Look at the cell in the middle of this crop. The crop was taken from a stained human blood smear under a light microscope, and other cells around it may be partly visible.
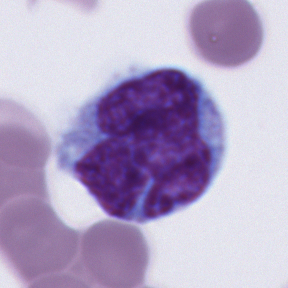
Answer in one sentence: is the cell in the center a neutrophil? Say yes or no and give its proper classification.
No, what is seen at the centre is a monocyte instead of a neutrophil.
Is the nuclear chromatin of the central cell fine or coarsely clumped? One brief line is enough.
Its chromatin is finely dispersed rather than coarsely clumped.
